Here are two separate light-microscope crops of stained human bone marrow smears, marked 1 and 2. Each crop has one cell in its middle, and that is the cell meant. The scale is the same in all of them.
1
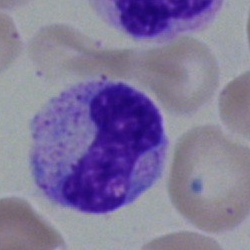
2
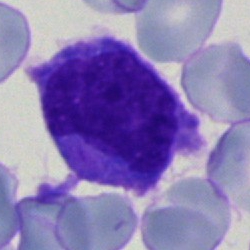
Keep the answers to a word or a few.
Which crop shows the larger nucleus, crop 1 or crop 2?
2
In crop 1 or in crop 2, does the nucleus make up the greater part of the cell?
2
